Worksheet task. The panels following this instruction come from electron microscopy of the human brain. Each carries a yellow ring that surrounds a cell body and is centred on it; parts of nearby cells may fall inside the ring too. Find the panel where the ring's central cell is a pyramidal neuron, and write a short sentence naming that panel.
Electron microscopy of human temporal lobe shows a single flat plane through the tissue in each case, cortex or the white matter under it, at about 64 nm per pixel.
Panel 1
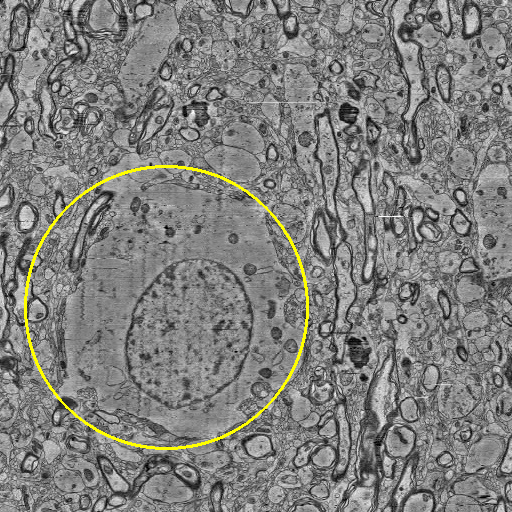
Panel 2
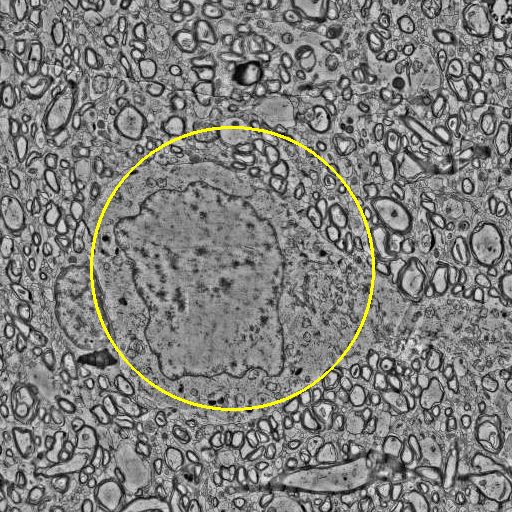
The cell sought is in Panel 2.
